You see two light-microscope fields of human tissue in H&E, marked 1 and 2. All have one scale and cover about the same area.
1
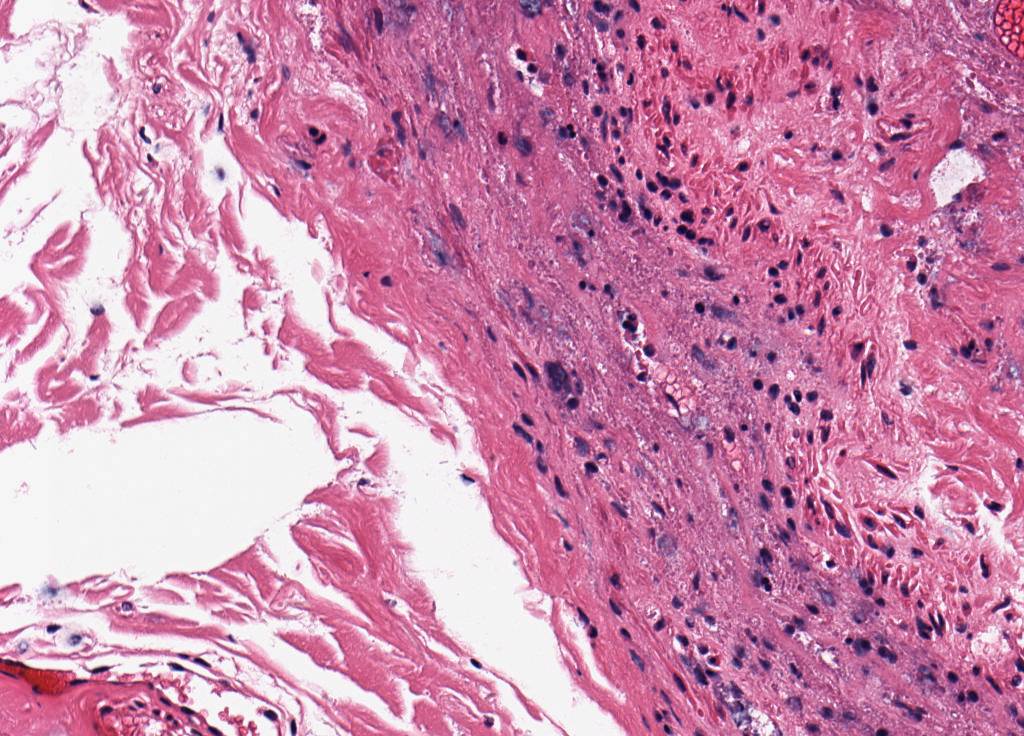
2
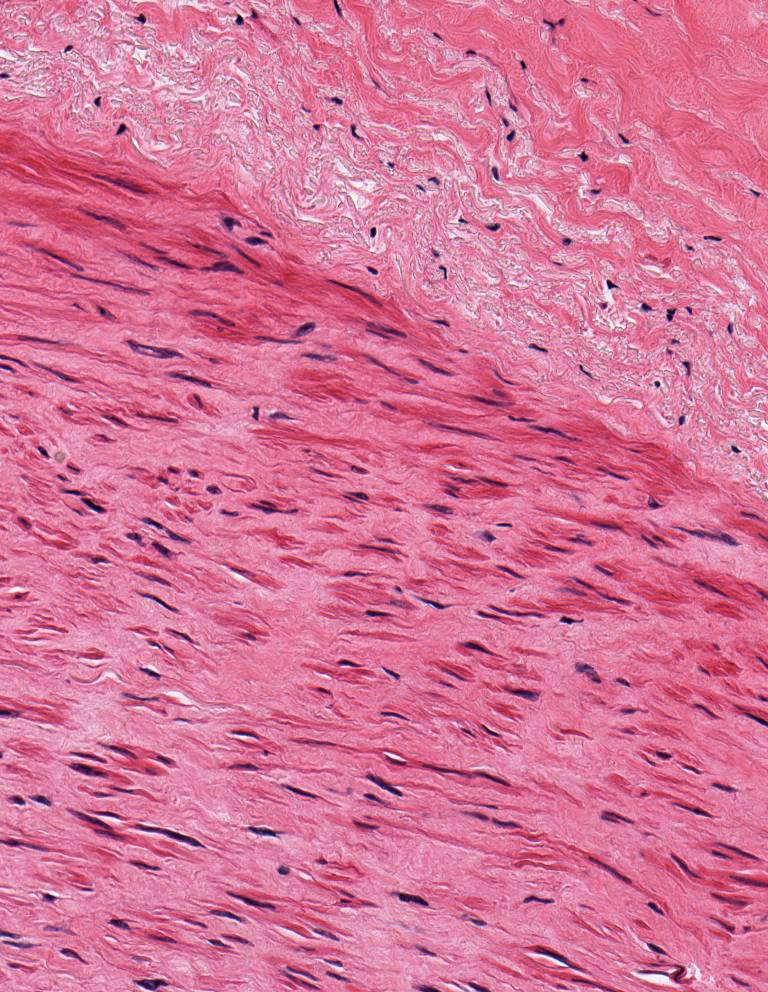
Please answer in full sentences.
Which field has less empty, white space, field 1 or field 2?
Unstained space takes up less of field 2 than of field 1.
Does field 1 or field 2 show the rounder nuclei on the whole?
On the whole the nuclei of field 1 are rounder than those of field 2.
